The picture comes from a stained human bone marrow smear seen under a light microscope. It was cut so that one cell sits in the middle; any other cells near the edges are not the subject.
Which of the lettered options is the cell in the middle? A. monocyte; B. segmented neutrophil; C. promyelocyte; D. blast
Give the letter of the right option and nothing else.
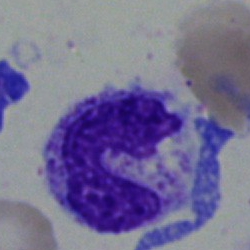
A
